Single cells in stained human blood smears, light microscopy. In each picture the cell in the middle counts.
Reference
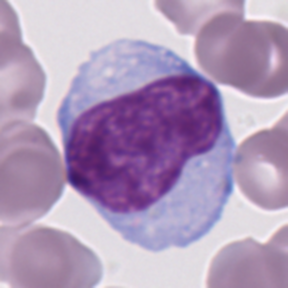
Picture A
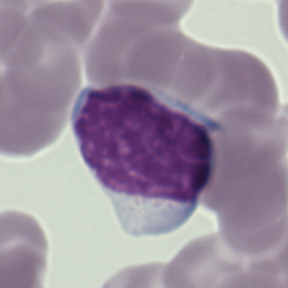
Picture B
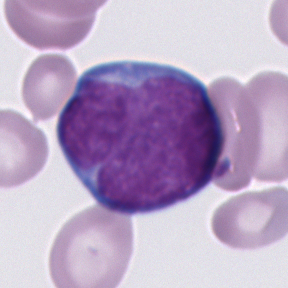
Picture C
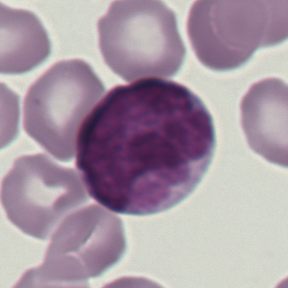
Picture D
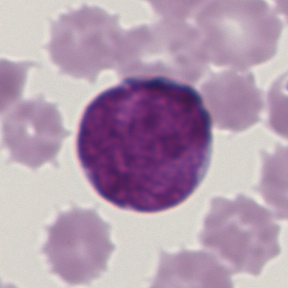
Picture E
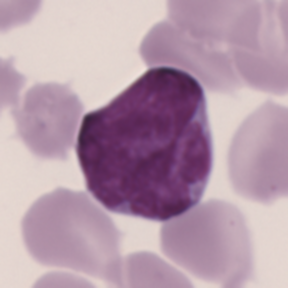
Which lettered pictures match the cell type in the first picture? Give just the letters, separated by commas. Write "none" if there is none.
B, C, D, E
